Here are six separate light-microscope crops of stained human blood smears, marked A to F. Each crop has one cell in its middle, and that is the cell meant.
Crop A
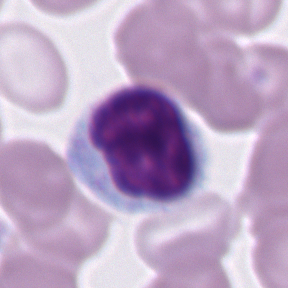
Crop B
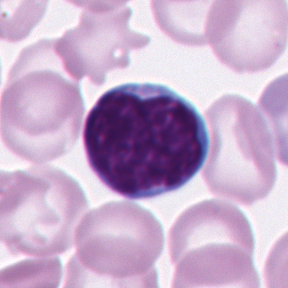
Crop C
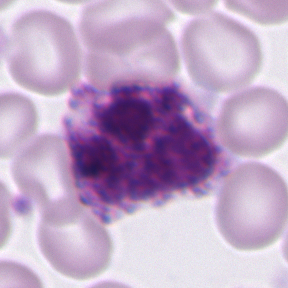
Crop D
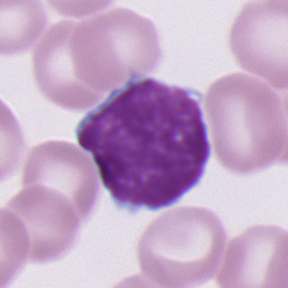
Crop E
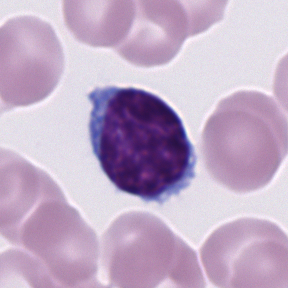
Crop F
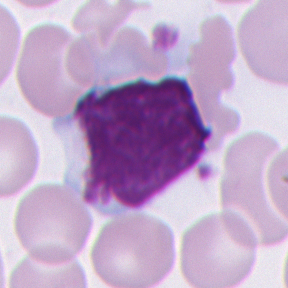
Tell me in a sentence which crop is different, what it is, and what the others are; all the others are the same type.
All the crops contain typical lymphocytes save crop C, where there is a basophil.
